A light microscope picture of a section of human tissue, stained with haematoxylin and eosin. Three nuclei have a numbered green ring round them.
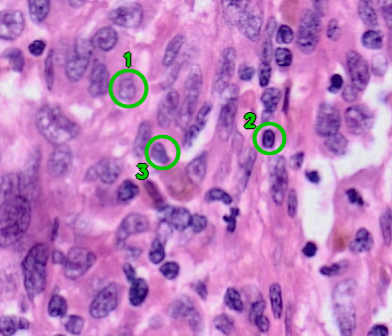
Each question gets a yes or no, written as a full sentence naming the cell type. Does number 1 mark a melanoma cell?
Yes, the cell that number 1 points to is a melanoma cell.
